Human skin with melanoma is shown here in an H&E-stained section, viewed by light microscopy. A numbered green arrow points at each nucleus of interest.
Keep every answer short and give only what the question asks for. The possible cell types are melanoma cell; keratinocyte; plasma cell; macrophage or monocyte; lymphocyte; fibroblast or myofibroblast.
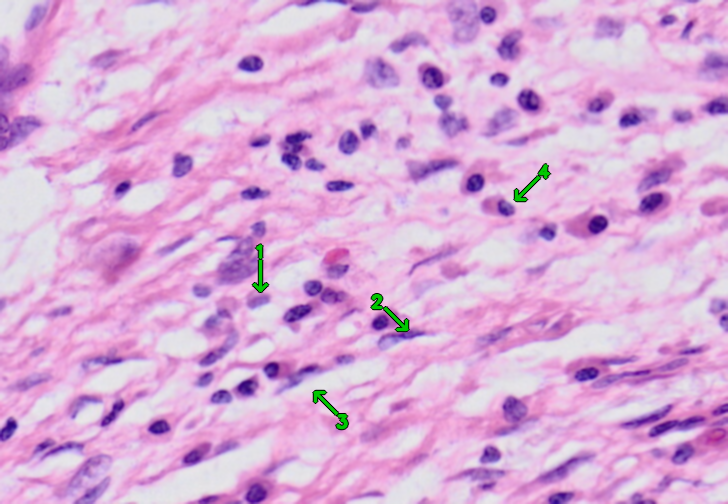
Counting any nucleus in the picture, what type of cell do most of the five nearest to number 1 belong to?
plasma cell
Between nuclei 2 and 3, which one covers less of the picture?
2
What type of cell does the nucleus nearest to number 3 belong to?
plasma cell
